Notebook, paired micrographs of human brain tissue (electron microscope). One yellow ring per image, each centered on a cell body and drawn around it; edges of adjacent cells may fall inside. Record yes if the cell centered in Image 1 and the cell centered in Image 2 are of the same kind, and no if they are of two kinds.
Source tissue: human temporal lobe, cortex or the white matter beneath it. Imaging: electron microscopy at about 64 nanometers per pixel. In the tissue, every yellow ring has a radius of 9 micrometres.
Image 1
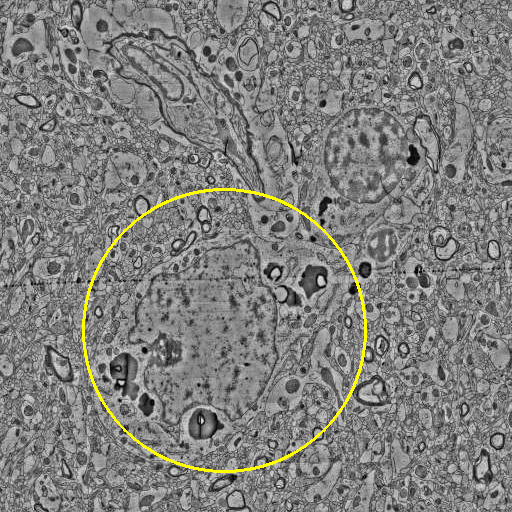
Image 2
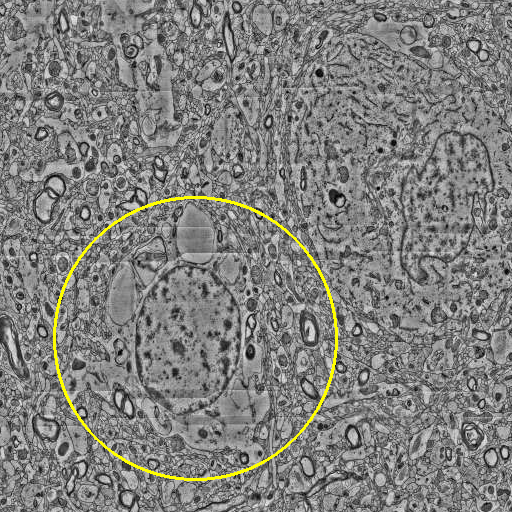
no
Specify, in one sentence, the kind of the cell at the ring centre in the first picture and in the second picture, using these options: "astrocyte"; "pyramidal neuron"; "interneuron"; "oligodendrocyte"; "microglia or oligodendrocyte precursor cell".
So the first is an interneuron, the second an astrocyte.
